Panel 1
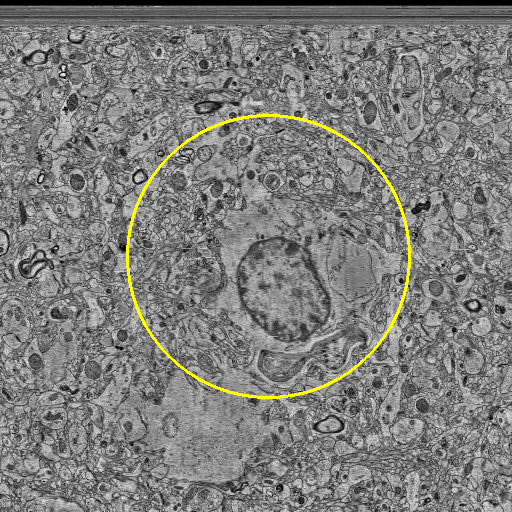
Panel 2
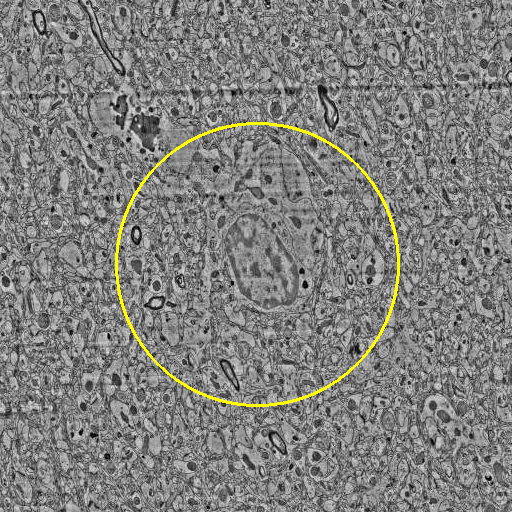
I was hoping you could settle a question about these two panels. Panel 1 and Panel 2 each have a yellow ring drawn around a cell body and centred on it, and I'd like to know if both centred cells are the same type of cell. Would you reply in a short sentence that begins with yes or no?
No, they are two types of cell.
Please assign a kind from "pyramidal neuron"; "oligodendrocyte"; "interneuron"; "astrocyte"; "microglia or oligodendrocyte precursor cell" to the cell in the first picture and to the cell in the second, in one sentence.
In the first picture we have an astrocyte, and in the second, a microglial cell or oligodendrocyte precursor cell.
